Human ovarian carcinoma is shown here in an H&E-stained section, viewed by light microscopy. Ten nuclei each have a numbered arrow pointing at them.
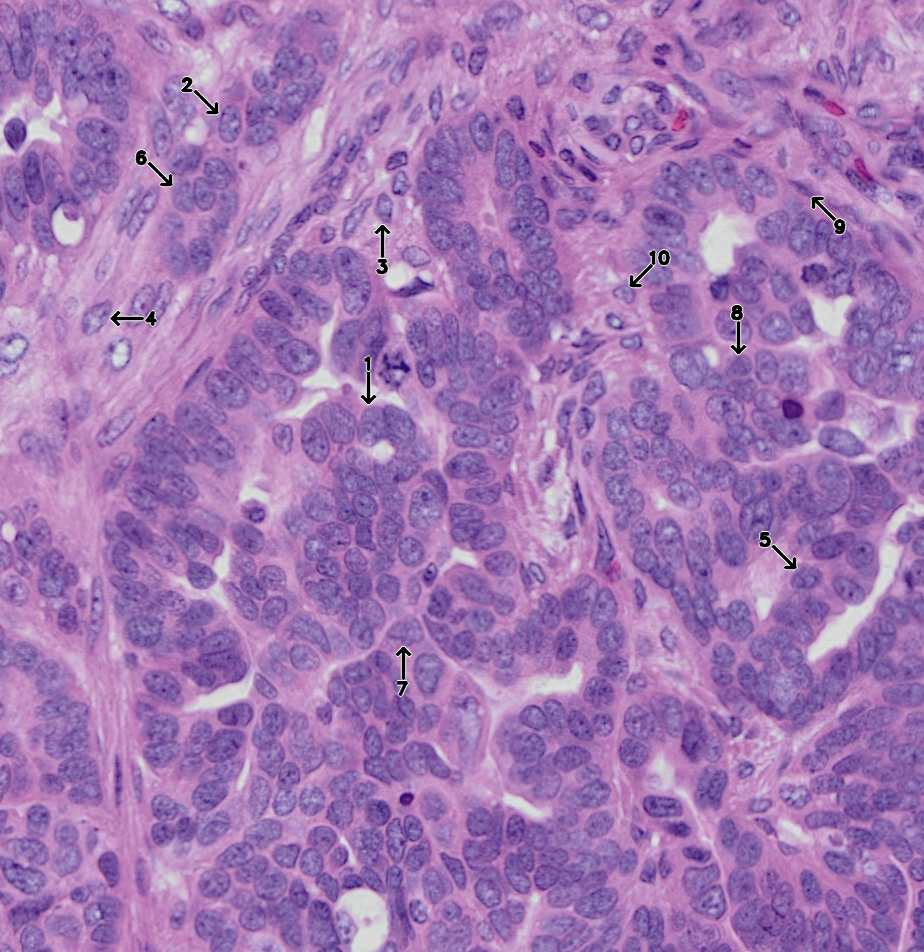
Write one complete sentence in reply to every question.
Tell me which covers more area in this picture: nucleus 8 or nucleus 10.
It is nucleus 8, which covers about 1.5 times the area of nucleus 10.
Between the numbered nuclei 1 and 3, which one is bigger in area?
Nucleus 1 covers more area, about 1.5 times as much as nucleus 3.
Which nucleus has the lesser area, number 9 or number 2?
Nucleus 9 covers less area, with nucleus 2 about 2 times as large.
